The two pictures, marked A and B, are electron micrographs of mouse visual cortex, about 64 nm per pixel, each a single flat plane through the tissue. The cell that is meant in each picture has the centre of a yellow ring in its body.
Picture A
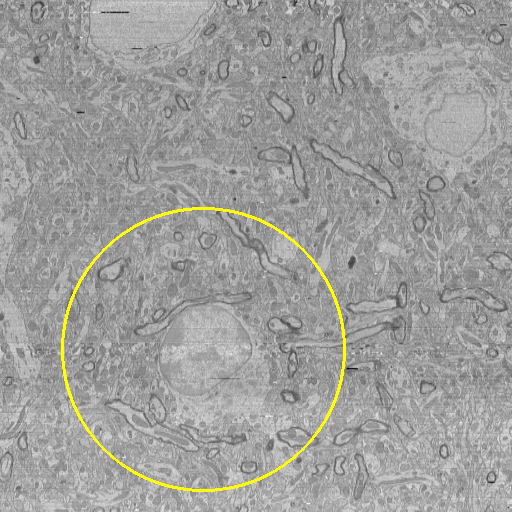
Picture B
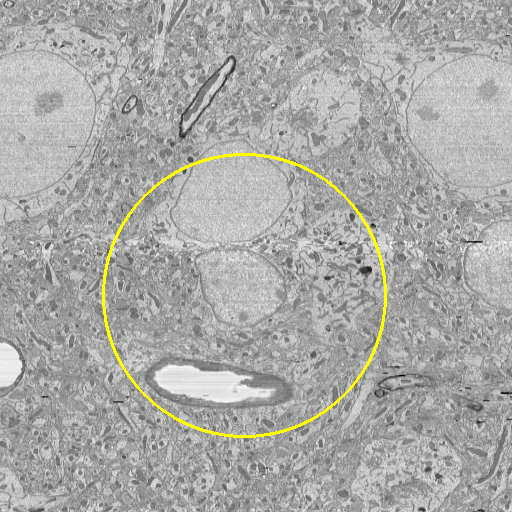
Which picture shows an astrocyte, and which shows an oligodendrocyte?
Picture A shows an oligodendrocyte and picture B shows an astrocyte.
